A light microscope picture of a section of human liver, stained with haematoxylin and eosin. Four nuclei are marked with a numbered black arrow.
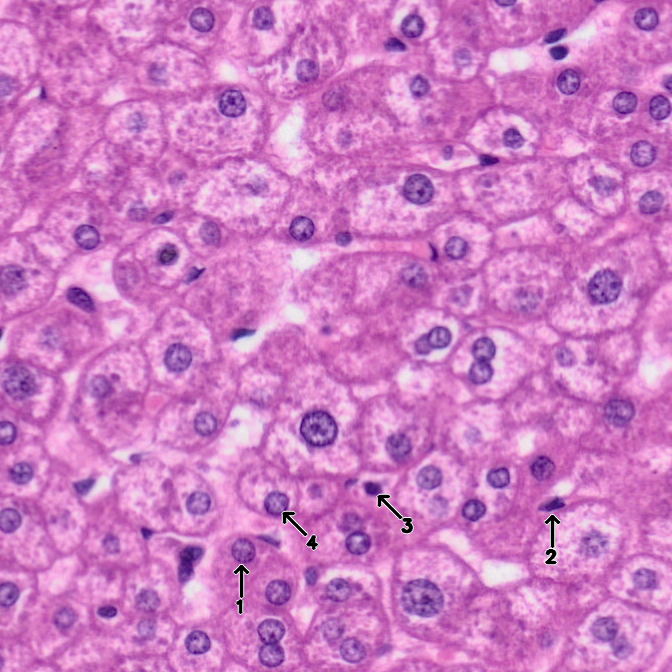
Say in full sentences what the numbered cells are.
Cell 1 is a hepatocyte, cell 2 is an endothelial cell, cell 3 is a lymphocyte and cell 4 is a hepatocyte.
